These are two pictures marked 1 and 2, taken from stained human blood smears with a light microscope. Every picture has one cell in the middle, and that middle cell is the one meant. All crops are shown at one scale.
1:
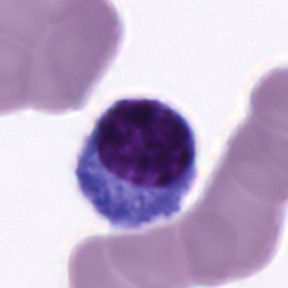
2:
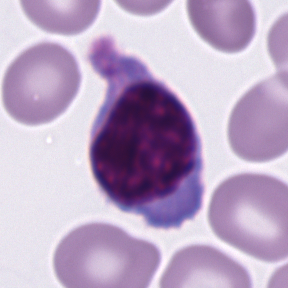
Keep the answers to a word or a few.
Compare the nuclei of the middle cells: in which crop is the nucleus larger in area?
2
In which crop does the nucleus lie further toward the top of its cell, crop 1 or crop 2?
1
